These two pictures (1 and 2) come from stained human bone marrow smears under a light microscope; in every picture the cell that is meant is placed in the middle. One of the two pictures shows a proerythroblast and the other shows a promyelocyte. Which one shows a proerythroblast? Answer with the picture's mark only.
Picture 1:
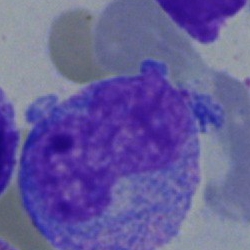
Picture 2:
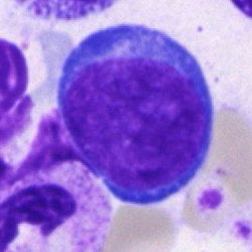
2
